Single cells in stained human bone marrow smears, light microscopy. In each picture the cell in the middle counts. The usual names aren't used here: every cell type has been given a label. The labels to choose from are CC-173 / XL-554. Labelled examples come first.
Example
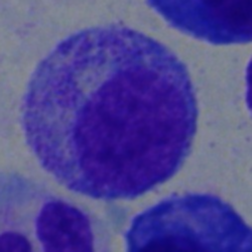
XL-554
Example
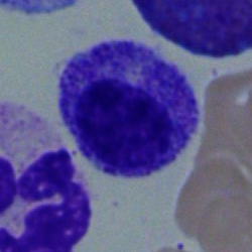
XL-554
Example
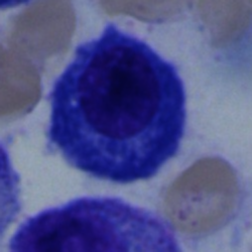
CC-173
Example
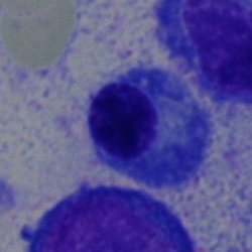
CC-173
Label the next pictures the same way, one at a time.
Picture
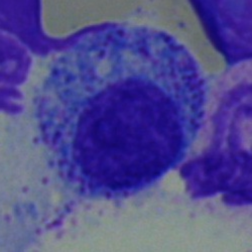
XL-554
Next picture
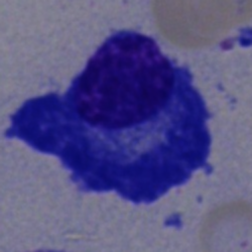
CC-173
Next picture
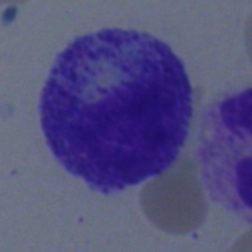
XL-554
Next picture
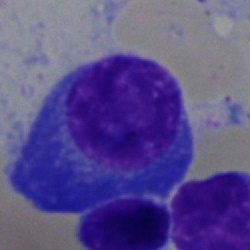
CC-173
